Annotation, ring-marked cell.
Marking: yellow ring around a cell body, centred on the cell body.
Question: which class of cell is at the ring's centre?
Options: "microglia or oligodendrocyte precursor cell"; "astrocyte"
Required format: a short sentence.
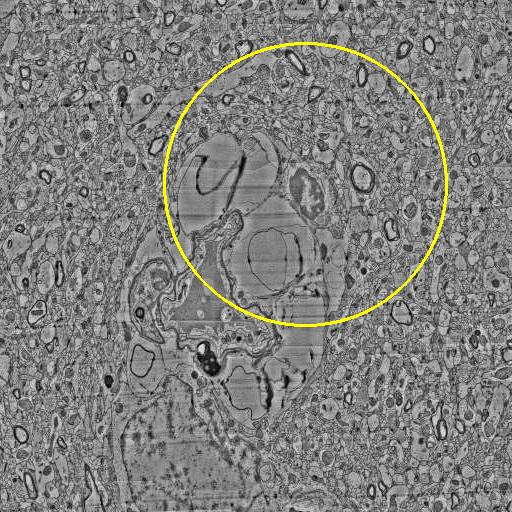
At the ring's centre is a microglial cell or oligodendrocyte precursor cell.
